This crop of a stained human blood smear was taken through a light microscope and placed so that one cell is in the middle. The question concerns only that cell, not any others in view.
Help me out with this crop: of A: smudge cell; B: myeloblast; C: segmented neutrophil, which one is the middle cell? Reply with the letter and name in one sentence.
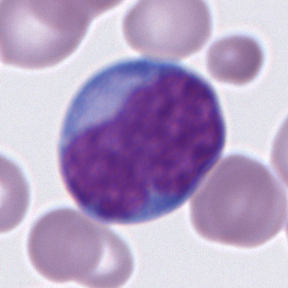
Well, the cell in the middle is a myeloblast, making option B right.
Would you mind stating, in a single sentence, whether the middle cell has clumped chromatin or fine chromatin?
Answer: the chromatin in this nucleus is coarsely clumped.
